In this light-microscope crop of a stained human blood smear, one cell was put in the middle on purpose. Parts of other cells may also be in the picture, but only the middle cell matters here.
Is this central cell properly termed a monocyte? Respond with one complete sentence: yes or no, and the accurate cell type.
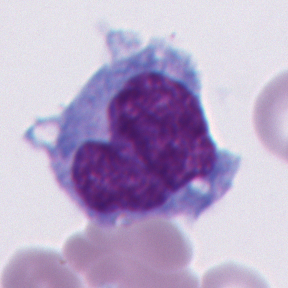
Yes, the cell at the midpoint of the crop is a monocyte.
